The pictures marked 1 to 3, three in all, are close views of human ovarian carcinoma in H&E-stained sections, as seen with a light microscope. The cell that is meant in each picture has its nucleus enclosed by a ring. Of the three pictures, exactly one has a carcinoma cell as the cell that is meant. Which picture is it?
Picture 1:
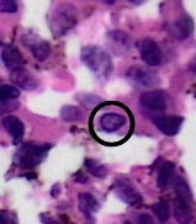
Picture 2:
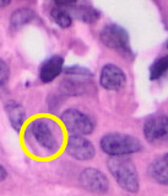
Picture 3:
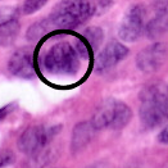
3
